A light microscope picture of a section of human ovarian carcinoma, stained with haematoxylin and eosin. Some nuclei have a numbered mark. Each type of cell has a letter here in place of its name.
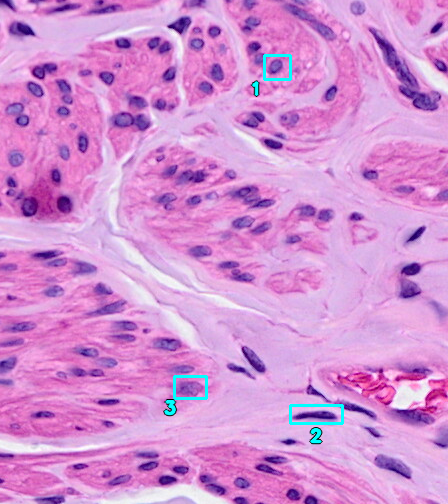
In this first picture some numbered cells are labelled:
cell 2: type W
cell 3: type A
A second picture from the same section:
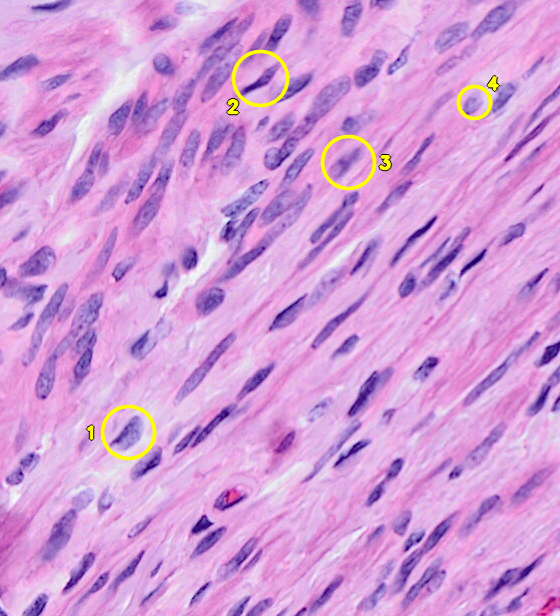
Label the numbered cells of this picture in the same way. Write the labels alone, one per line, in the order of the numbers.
type W
type A
type A
type A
